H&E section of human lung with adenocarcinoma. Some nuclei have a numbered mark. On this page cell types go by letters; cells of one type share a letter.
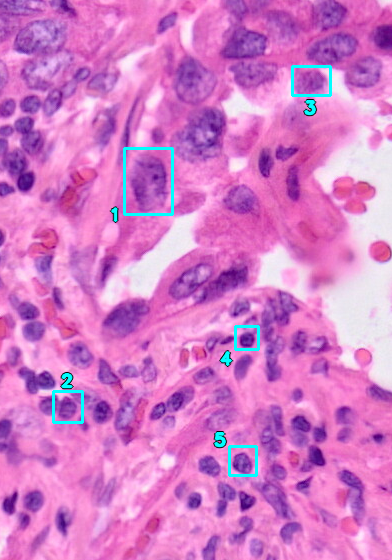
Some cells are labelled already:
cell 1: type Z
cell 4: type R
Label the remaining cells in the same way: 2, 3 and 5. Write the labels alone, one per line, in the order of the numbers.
type R
type Z
type R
